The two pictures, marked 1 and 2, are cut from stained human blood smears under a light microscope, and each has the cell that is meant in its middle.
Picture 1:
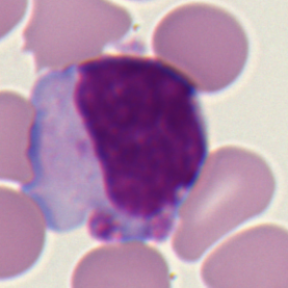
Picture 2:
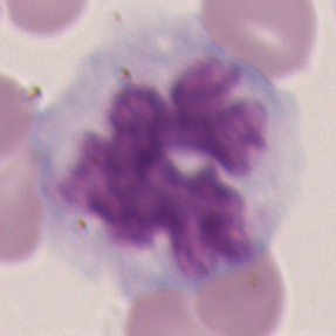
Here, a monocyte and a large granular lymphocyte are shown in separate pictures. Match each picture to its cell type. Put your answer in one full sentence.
The cell in picture 1 is a large granular lymphocyte, and the one in picture 2 is a monocyte.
